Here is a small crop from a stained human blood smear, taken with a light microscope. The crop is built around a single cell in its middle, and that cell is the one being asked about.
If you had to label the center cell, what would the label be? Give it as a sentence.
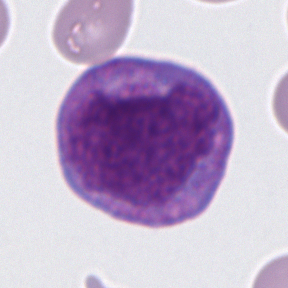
The cell positioned in the middle of the field is an atypical promyelocyte.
